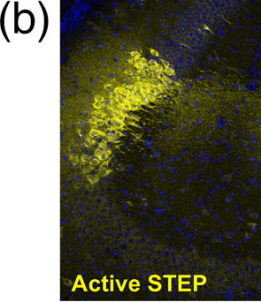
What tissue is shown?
Hippocampus.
